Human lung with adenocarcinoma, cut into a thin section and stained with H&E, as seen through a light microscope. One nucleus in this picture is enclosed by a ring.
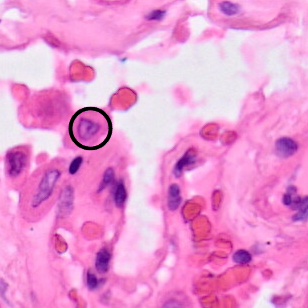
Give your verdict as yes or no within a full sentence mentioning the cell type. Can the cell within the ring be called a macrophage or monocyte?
Yes, the identification of the cell within the ring as a macrophage or monocyte stands.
